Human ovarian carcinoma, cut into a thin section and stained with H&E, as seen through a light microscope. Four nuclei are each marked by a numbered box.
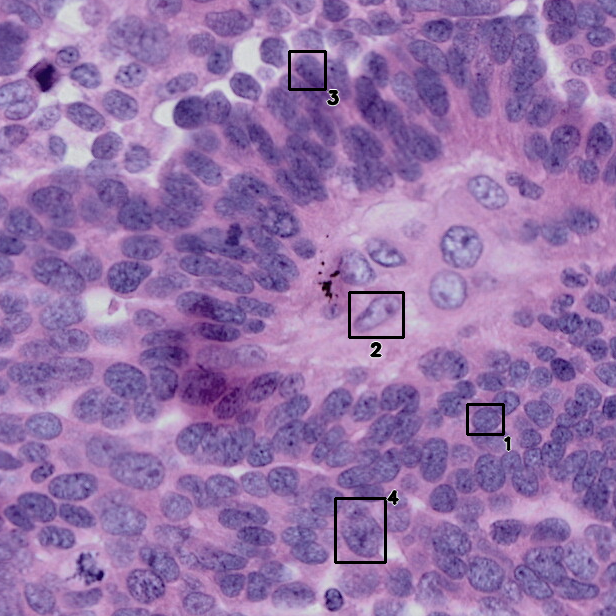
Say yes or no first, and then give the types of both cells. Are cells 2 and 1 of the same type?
No, whereas cell 1 is a carcinoma cell, cell 2 is a fibroblast.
